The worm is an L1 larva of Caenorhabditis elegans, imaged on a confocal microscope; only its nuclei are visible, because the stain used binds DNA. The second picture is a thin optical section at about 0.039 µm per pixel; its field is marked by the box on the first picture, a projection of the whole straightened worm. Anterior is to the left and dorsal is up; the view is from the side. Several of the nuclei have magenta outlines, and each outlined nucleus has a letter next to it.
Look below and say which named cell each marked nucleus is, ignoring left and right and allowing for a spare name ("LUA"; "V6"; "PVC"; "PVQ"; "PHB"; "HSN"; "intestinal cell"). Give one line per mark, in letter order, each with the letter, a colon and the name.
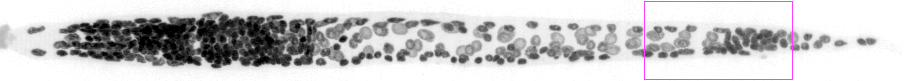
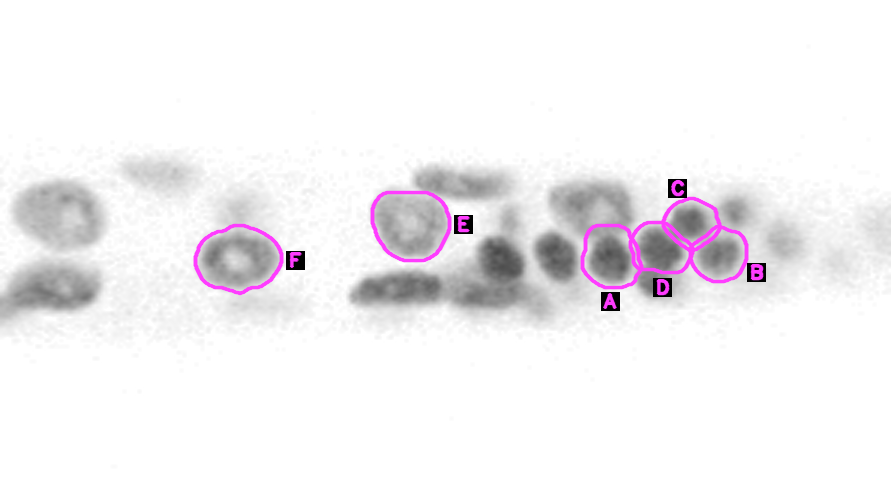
A: PVQ
B: PVC
C: LUA
D: PHB
E: intestinal cell
F: V6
